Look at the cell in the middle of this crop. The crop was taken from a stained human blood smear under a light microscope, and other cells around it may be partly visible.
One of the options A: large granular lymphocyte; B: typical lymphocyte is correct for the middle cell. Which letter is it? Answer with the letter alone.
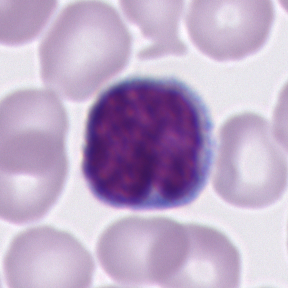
B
